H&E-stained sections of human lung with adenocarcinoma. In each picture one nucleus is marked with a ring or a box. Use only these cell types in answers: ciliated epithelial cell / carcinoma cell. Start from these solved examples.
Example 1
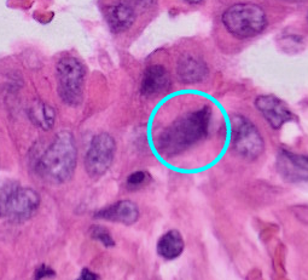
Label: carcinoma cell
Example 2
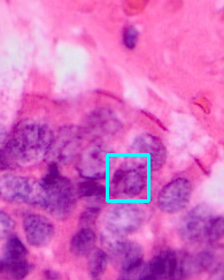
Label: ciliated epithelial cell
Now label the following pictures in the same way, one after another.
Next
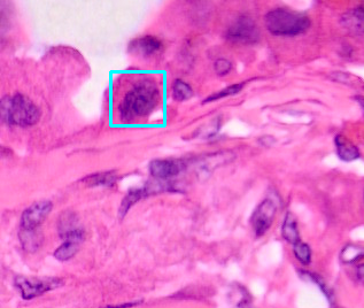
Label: carcinoma cell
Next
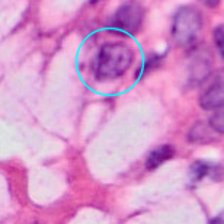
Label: ciliated epithelial cell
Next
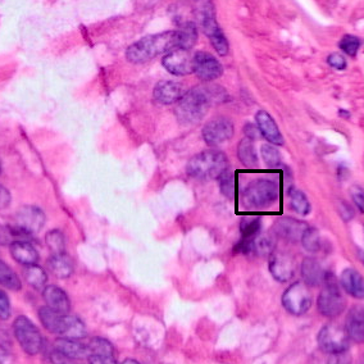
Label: ciliated epithelial cell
